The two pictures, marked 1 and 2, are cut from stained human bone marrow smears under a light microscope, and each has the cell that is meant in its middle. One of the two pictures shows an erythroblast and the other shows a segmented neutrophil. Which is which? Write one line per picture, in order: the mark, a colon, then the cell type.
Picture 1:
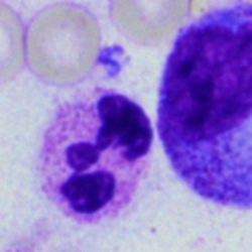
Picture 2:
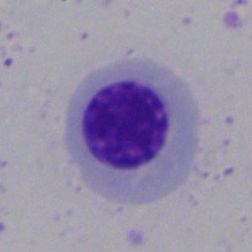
1: segmented neutrophil
2: erythroblast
